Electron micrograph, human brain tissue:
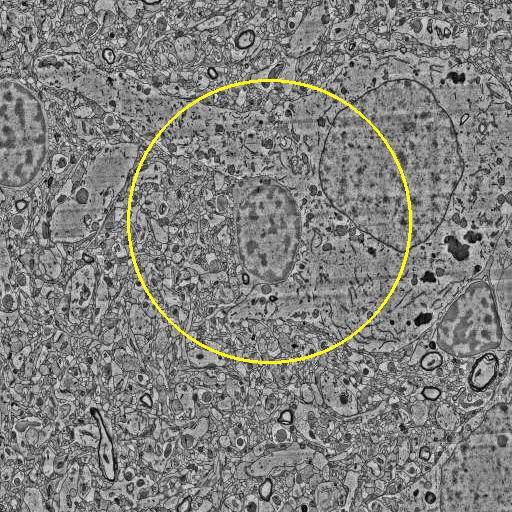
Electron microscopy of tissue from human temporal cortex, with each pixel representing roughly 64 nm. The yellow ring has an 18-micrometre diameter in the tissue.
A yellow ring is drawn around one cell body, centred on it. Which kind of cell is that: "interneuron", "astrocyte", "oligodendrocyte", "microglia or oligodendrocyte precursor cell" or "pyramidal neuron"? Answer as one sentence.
It is an oligodendrocyte at the centre of the ring.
